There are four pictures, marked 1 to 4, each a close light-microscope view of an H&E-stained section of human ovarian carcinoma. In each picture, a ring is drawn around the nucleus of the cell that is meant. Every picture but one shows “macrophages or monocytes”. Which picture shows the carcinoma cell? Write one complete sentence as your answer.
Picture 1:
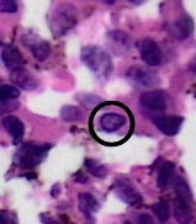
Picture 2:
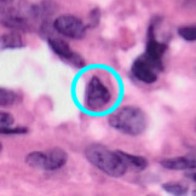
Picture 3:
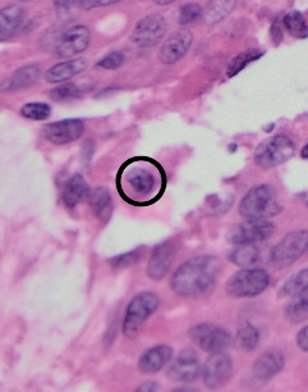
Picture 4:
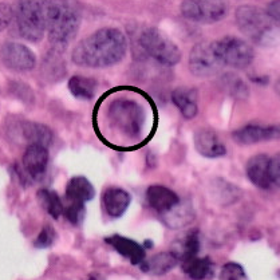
Picture 4 is the one that shows the carcinoma cell.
